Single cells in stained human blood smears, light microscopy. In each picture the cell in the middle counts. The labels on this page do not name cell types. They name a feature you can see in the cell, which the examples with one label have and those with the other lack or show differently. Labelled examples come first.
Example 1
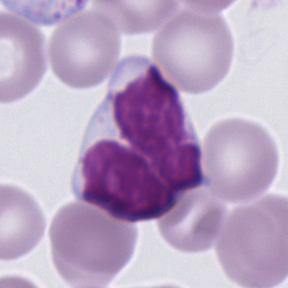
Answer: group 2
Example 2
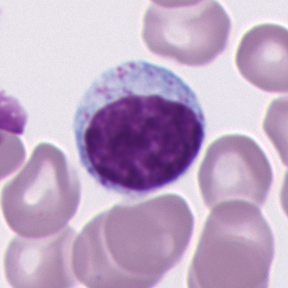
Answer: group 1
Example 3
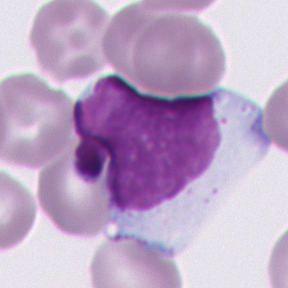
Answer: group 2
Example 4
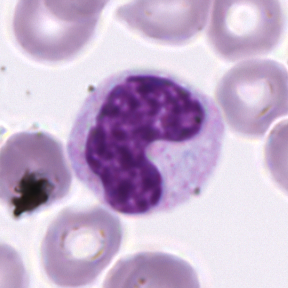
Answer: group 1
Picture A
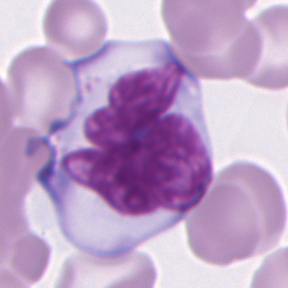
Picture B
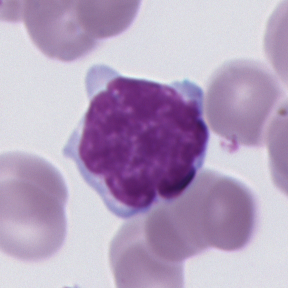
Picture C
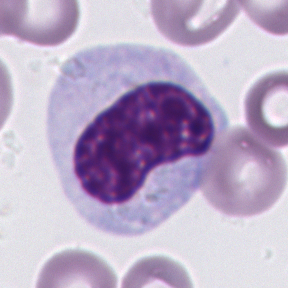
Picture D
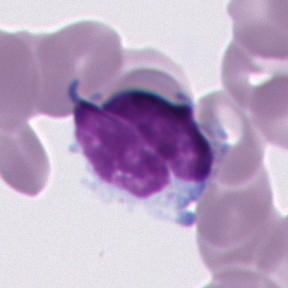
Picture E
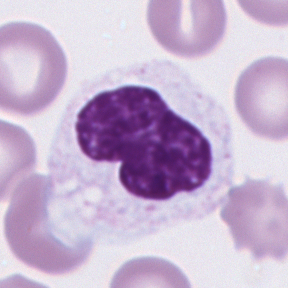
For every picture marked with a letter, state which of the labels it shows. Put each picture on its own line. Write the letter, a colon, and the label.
A: group 2
B: group 1
C: group 1
D: group 2
E: group 2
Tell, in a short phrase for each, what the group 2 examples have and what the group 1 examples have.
group 2, lobed nucleus; group 1, single compact nucleus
